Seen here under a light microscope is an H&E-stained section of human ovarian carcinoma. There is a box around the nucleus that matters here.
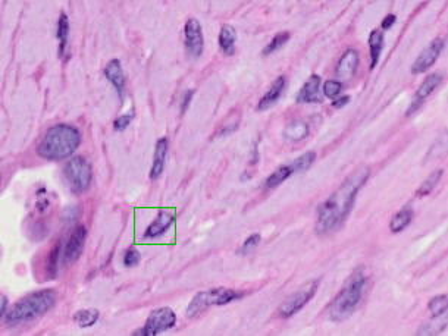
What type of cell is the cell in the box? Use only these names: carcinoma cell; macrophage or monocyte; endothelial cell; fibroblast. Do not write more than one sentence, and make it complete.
In the stained section, the cell in the box is a fibroblast.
